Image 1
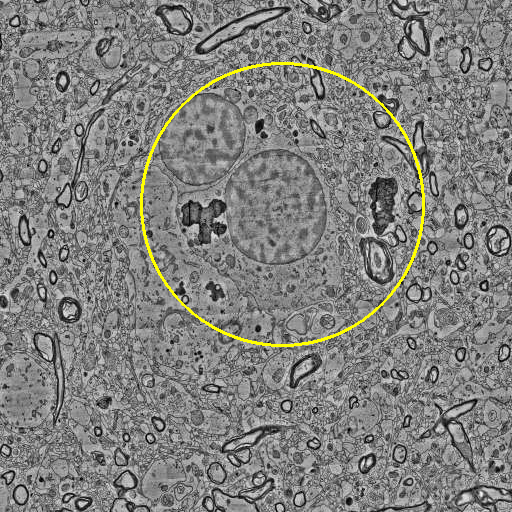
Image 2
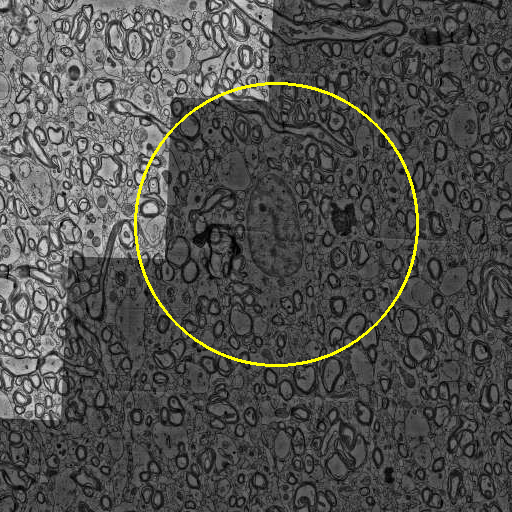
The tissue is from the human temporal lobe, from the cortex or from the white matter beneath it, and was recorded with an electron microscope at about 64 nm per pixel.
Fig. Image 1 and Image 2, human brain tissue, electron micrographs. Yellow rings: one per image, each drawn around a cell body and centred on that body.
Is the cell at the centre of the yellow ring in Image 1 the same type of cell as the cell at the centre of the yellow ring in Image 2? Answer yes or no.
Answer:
yes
